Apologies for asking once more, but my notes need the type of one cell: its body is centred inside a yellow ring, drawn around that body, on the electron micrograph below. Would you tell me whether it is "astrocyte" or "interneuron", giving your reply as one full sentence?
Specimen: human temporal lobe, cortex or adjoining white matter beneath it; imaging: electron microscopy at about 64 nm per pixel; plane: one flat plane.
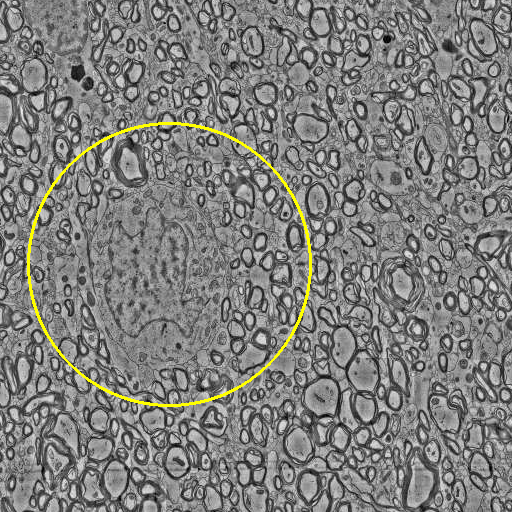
The cell that the yellow ring is centred on is an interneuron in this micrograph.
